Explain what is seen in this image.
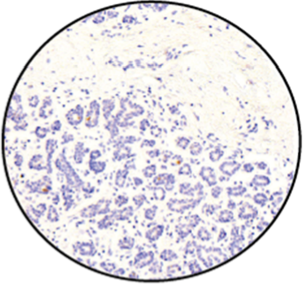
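Normal breast tissue with groups of small glands lined by epithelial cells within loose pale stroma. Nearly all nuclei, in the glands and the stroma, are blue, with only rare brown-stained nuclei.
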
